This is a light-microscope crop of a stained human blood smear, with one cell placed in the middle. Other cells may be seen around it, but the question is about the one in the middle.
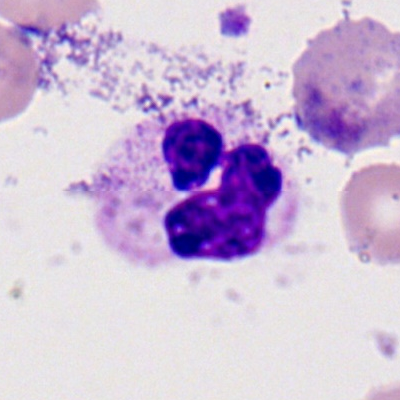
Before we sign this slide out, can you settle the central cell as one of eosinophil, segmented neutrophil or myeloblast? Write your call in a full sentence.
The crop shows a segmented neutrophil in its centre.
